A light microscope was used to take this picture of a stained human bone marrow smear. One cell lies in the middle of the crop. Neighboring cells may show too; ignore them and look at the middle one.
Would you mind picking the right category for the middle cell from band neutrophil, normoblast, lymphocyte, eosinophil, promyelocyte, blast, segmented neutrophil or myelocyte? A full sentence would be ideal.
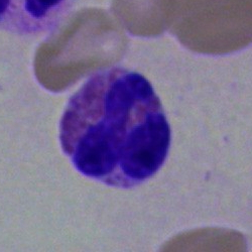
The cell centered in this field of view is an eosinophil.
